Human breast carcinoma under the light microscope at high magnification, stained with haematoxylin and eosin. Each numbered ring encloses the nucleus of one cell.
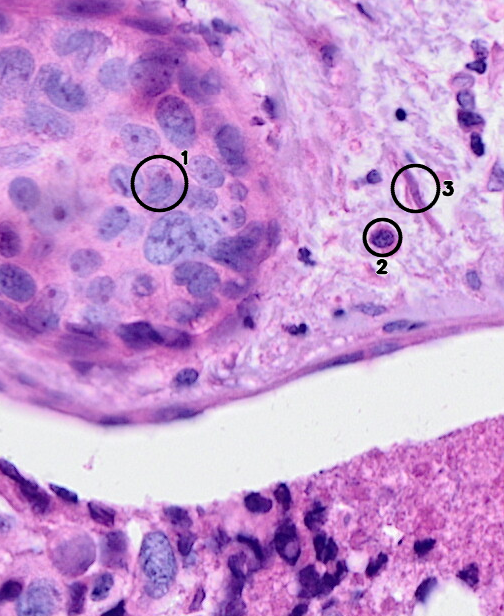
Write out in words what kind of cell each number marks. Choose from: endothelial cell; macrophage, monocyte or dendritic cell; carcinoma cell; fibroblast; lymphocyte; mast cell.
Cell 1 is a carcinoma cell. Cell 2 is a mast cell. Cell 3 is a fibroblast.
